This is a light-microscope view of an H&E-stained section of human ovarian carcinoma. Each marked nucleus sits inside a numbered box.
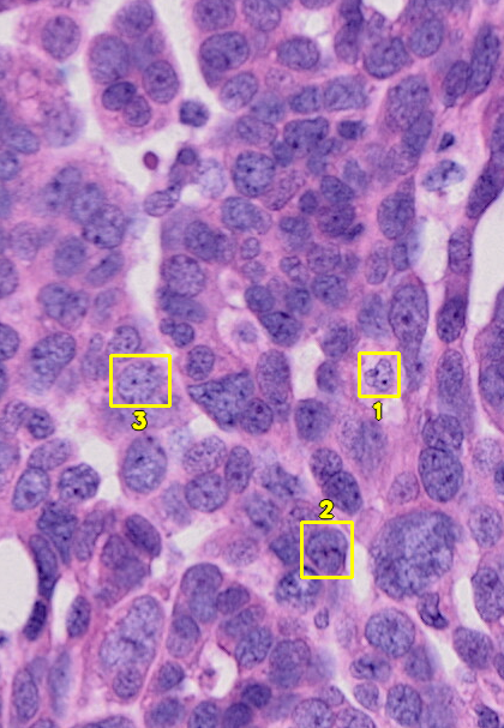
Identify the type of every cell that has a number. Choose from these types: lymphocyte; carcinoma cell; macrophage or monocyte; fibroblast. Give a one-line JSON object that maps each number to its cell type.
{"1": "macrophage or monocyte", "2": "carcinoma cell", "3": "carcinoma cell"}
